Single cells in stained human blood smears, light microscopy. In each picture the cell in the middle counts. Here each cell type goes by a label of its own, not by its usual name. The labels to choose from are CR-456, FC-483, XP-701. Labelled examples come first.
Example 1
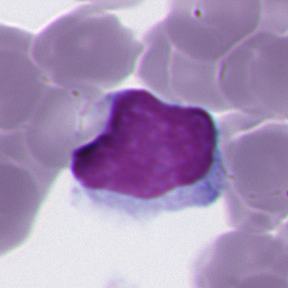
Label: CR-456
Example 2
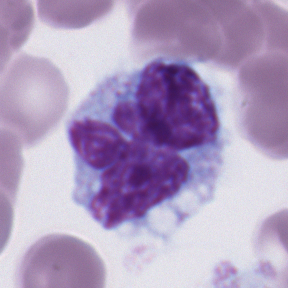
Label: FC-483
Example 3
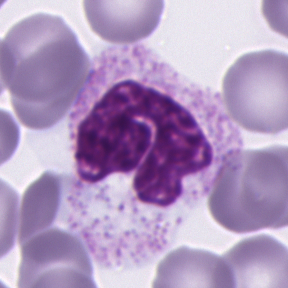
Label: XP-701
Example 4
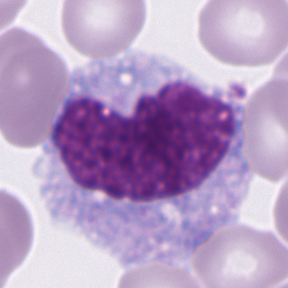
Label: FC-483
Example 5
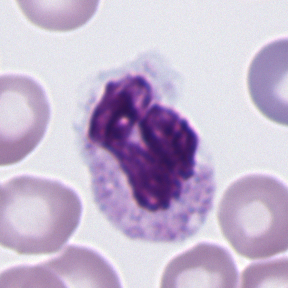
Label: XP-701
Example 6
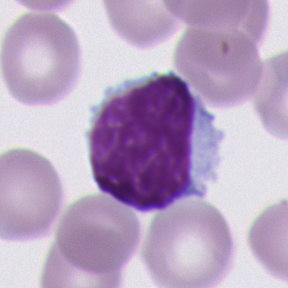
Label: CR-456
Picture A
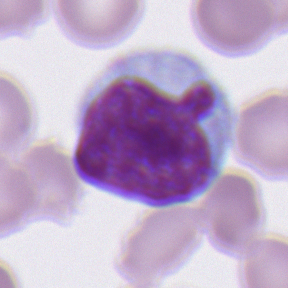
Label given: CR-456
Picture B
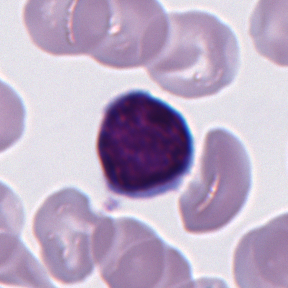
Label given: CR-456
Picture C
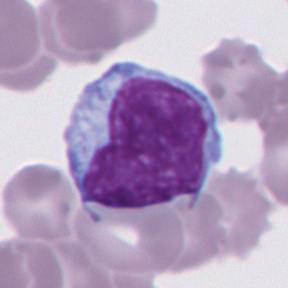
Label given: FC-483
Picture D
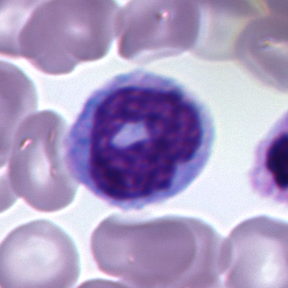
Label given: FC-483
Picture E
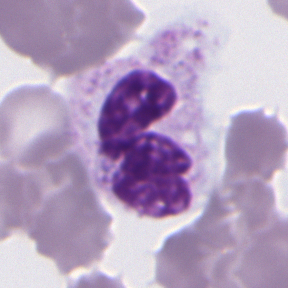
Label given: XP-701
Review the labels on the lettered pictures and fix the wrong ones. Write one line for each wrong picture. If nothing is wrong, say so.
C: not FC-483 but CR-456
